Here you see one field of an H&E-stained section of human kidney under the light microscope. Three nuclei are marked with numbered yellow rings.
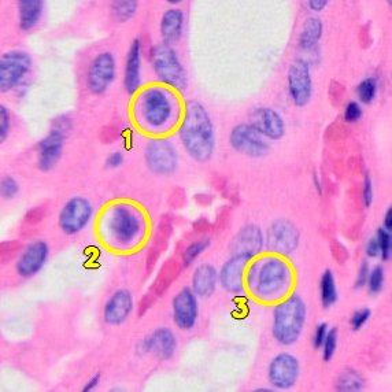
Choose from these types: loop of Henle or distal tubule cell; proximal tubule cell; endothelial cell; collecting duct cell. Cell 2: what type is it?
loop of Henle or distal tubule cell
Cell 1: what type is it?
collecting duct cell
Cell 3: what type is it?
collecting duct cell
